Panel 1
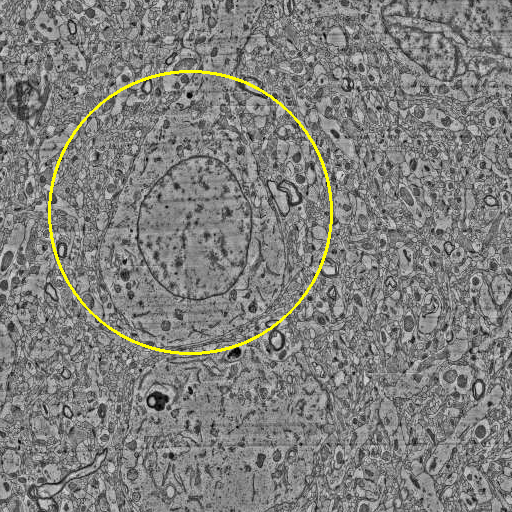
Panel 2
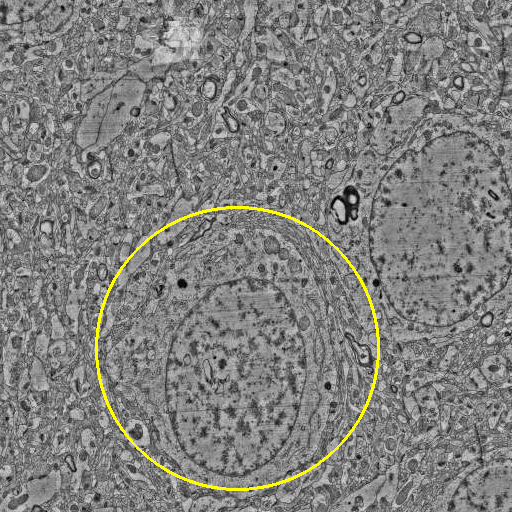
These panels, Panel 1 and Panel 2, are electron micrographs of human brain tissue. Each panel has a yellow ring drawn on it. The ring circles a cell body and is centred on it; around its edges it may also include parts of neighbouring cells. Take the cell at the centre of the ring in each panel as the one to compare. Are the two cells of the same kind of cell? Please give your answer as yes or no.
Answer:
no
